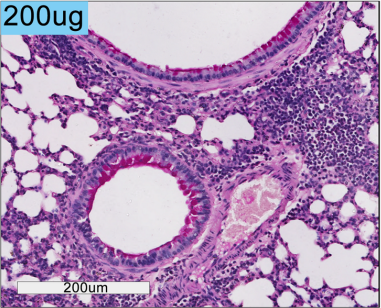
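This is lung tissue showing airways whose epithelium carries magenta-stained mucus cells. A round airway at lower left is lined by columnar epithelium with a continuous magenta band along its inner surface, and a larger airway at the top shows the same magenta lining. Beside the round airway lies a blood vessel filled with pale red blood cells. Between and around these structures sits a dense crowd of small round dark-purple nuclei, filling the space around the airway and vessel. Further out the tissue opens into alveoli with thin pink walls.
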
